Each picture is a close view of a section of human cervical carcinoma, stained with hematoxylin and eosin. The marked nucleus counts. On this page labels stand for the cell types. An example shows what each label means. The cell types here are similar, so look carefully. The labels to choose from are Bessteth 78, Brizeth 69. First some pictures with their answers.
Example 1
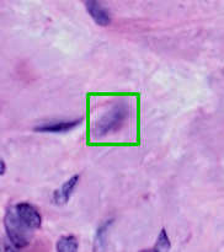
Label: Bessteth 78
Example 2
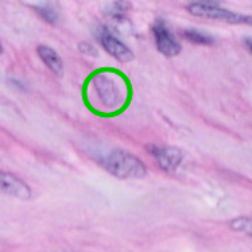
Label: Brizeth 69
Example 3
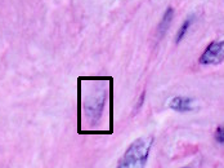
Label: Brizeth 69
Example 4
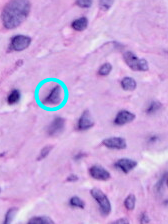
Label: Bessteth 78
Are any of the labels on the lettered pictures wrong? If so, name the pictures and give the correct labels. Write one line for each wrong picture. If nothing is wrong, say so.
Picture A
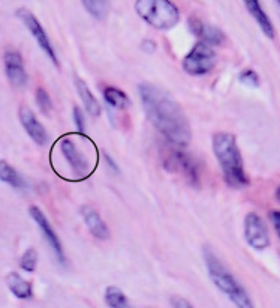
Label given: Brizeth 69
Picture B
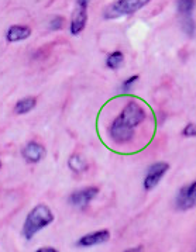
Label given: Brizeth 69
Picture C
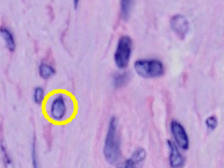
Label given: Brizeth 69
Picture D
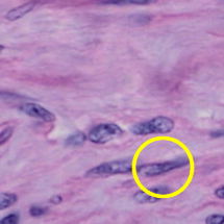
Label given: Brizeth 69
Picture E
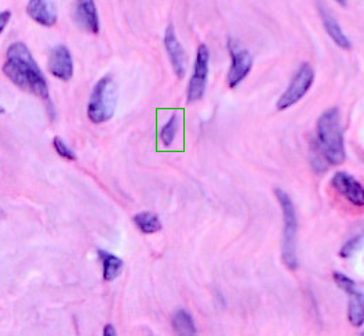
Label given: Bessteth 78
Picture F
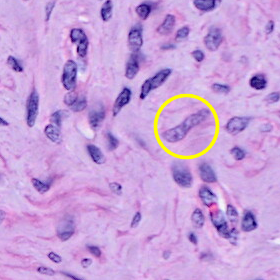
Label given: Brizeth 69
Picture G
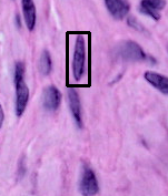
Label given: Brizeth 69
G: not Brizeth 69 but Bessteth 78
